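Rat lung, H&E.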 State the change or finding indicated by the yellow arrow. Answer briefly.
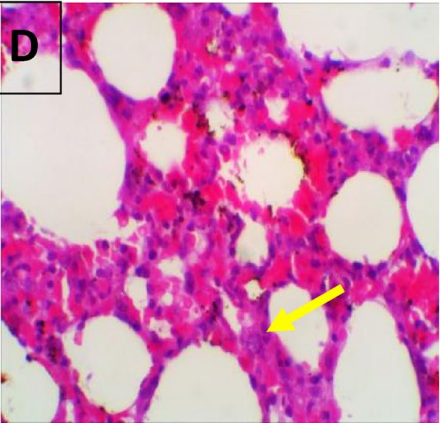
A: Thickening septa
